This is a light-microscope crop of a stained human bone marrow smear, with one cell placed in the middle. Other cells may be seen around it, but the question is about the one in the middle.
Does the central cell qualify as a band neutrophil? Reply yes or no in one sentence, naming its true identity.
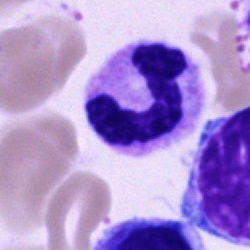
No, not a band neutrophil but a segmented neutrophil is the cell in the centre.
